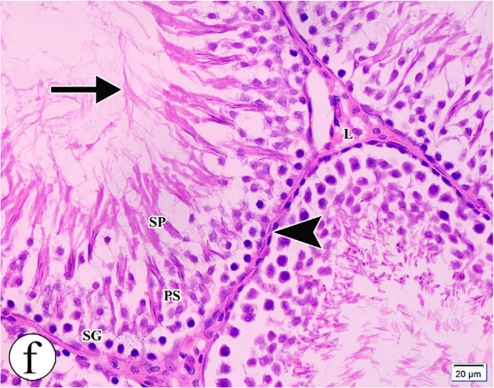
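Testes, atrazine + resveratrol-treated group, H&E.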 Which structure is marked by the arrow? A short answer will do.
Sperm flagella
